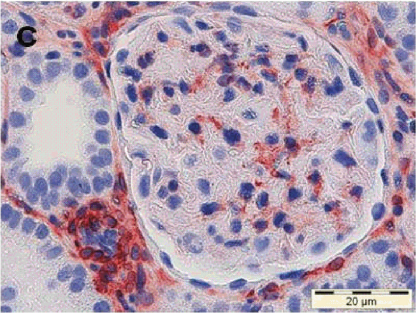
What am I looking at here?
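Glomerulus within its capsule, with surrounding tubules and interstitium. The capillary tuft fills most of Bowman's space; its blue nuclei are scattered, and red-stained cells with branching cytoplasm lie among them in the tuft. A thin capsule encloses a narrow clear space. Outside the capsule, the interstitium between tubules is widened and holds many red-stained cells, densest in a cluster at the lower left. Tubules are lined by cuboidal cells with round blue nuclei and pale cytoplasm; one at upper left has an open lumen.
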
